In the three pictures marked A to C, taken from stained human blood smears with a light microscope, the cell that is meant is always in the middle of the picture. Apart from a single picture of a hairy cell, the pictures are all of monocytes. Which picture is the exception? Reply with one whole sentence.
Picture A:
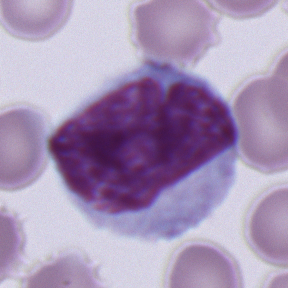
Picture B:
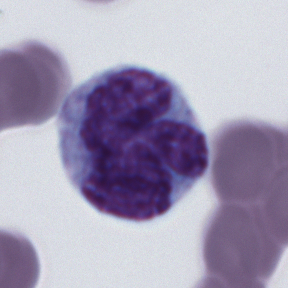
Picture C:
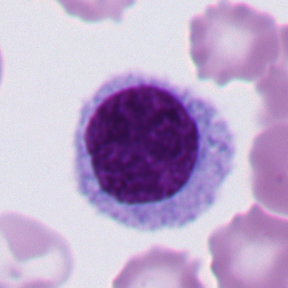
The hairy cell is the one in picture C.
